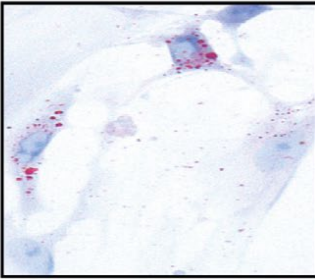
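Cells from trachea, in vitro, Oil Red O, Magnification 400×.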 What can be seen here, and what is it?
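In one cell near the top a cluster of small, round, bright red droplets sits in the cytoplasm around the nucleus. More of these tiny red droplets are strung along the cells at the lower left, while much of the surrounding cytoplasm remains pale and free of them.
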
